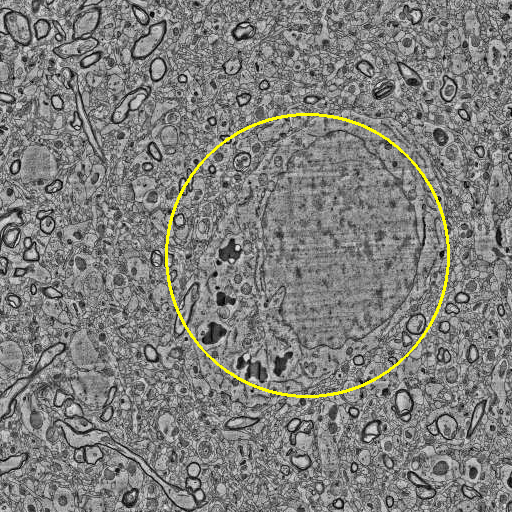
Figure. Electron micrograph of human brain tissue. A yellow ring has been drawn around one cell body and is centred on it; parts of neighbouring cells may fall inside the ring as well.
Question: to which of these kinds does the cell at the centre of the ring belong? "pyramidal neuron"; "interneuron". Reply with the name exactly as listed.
interneuron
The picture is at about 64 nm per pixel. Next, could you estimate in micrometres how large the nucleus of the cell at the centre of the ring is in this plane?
In this plane, the nucleus is roughly 14 by 10 micrometres.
